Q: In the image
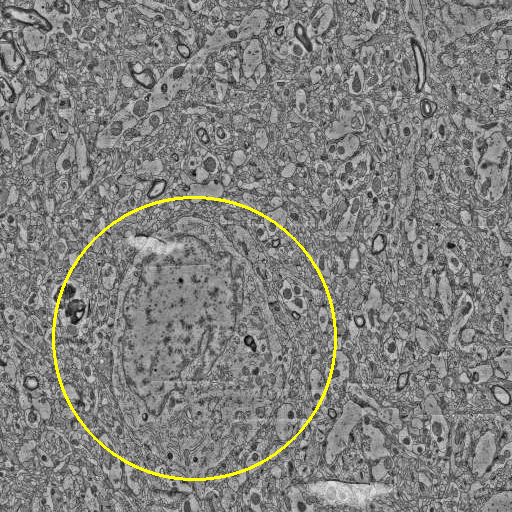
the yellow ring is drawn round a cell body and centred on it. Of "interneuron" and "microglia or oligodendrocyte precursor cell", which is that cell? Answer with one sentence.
The cell centred in the ring is an interneuron.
